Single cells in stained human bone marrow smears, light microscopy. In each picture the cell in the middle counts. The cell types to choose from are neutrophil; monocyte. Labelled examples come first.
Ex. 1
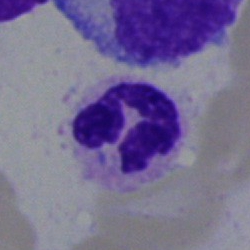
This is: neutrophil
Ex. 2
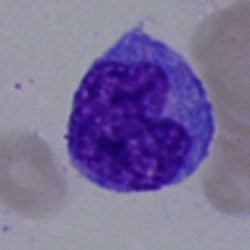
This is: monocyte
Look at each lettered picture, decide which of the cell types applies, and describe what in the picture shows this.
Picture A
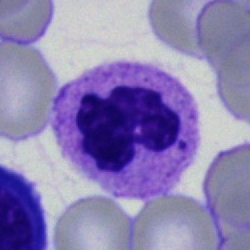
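neutrophil: Fine purple granules are scattered evenly through the cytoplasm.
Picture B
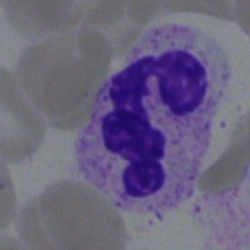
neutrophil: The cytoplasm is abundant and pale pinkish-lilac.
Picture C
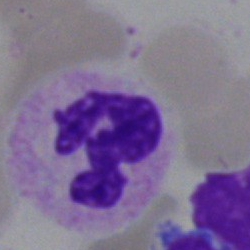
neutrophil: The cytoplasm is plentiful and pale pinkish-lilac.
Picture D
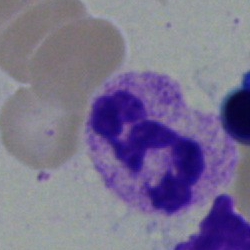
neutrophil: Fine purple granules are scattered through the cytoplasm.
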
